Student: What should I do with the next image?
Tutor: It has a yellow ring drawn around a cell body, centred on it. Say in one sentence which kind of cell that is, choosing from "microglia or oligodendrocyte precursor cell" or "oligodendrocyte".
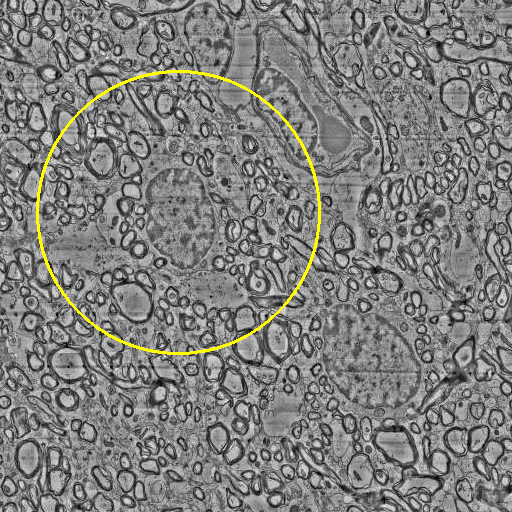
The ring's centre is occupied by an oligodendrocyte.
